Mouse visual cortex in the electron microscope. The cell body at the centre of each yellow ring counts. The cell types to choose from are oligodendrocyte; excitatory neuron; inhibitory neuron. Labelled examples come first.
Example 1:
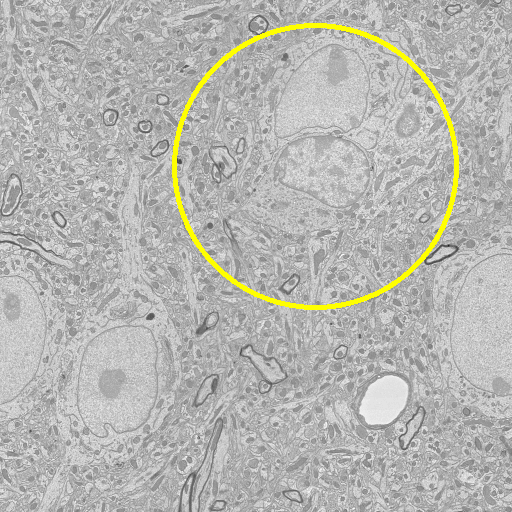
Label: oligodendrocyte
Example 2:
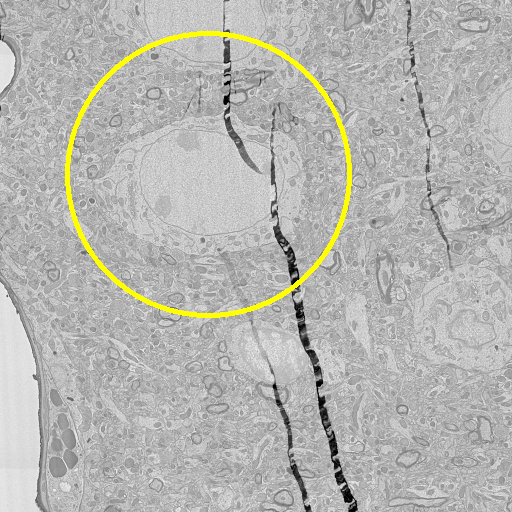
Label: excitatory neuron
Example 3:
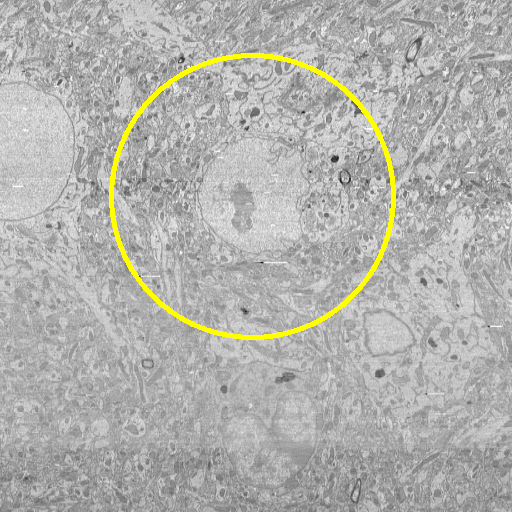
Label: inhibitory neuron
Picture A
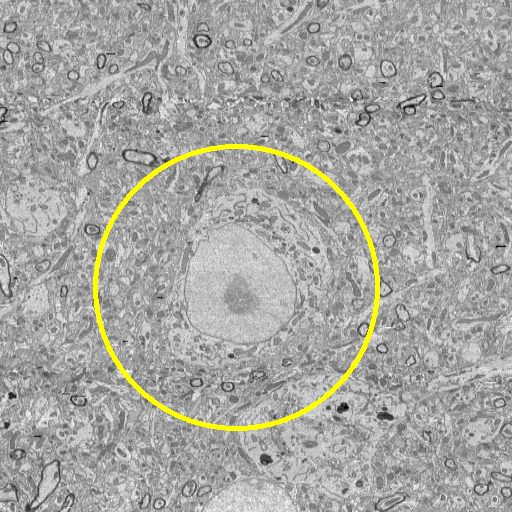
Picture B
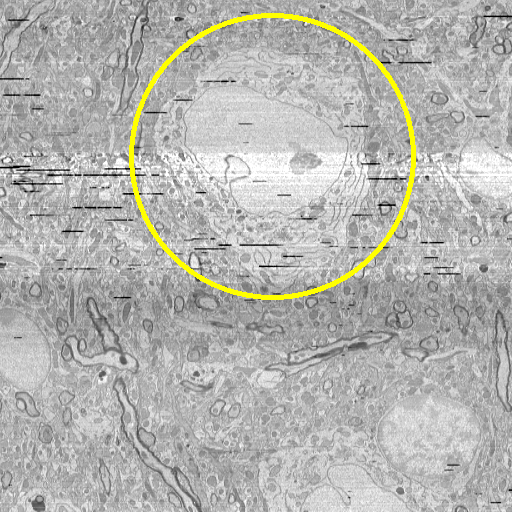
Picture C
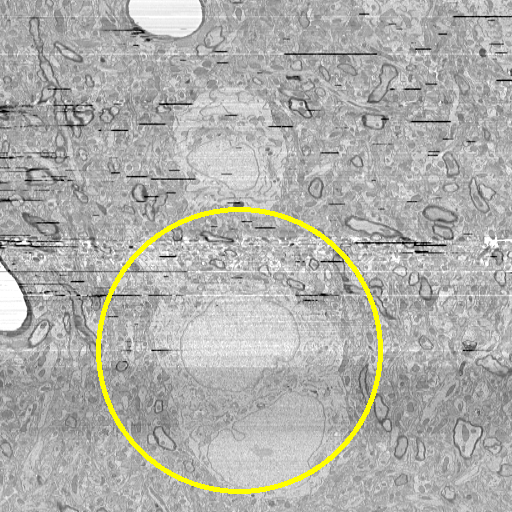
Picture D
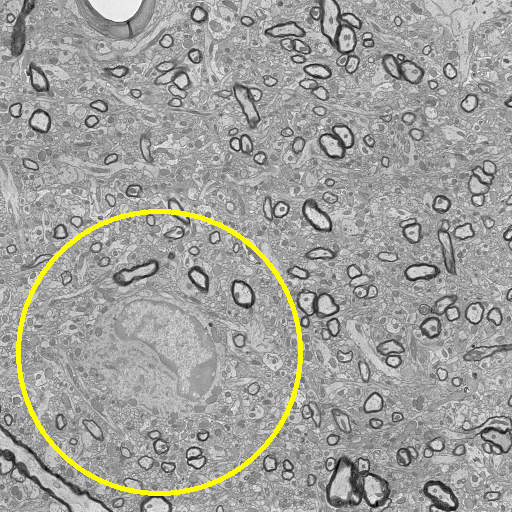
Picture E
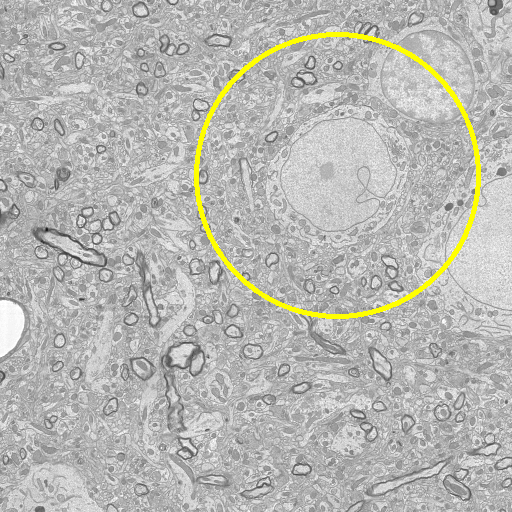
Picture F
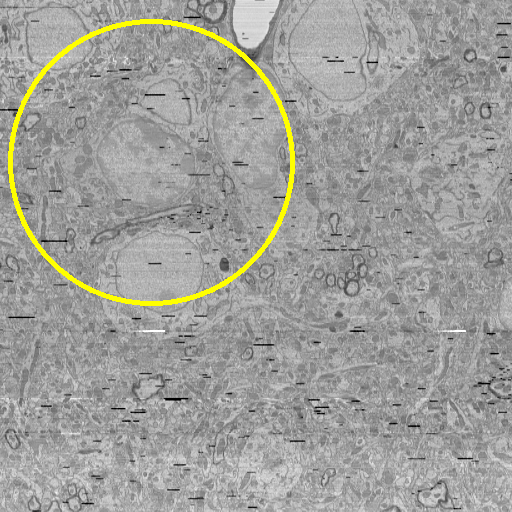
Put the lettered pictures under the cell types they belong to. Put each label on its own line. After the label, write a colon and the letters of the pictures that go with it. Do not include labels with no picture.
oligodendrocyte: C, D, F
excitatory neuron: B
inhibitory neuron: A, E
